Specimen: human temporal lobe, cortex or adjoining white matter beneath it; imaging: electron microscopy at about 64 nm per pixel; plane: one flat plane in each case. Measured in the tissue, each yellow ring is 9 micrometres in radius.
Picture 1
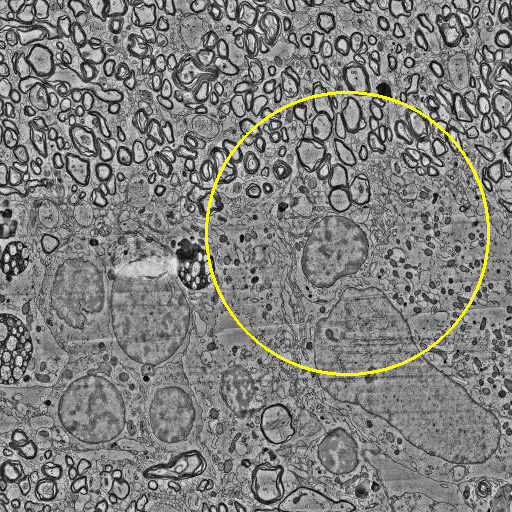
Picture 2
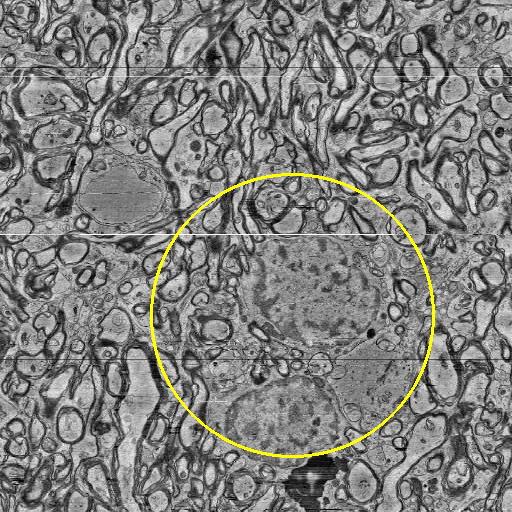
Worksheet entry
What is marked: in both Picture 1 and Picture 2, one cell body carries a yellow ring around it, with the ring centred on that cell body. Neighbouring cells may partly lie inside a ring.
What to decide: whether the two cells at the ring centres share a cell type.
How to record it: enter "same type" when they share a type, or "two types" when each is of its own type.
two types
